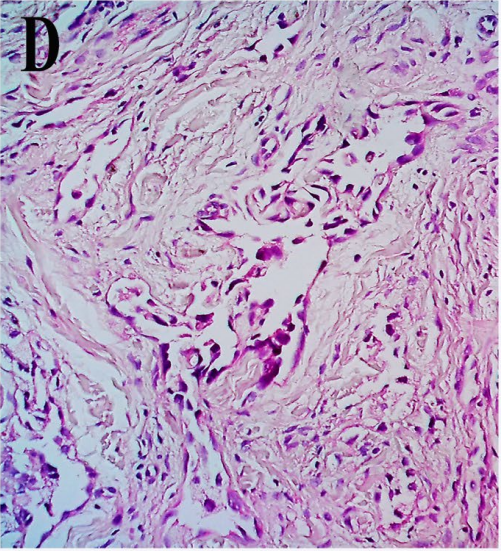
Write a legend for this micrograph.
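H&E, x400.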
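At high power, an irregular slit-like vascular channel runs through pale pink collagenous stroma, and it is lined by plump endothelial cells that pile up in more than one layer instead of forming a single flat lining. Their nuclei are large, dark purple and irregular in shape and size, a picture of nuclear atypia.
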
